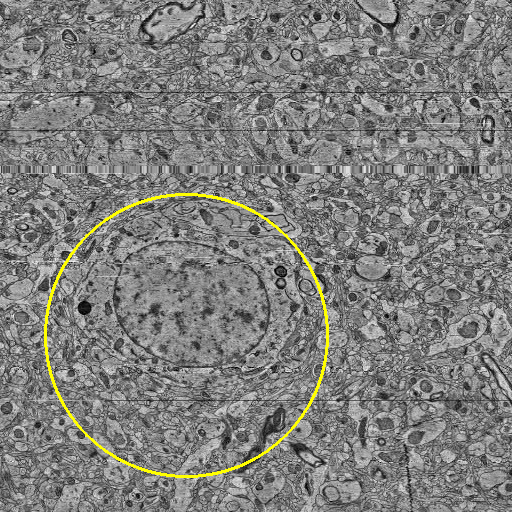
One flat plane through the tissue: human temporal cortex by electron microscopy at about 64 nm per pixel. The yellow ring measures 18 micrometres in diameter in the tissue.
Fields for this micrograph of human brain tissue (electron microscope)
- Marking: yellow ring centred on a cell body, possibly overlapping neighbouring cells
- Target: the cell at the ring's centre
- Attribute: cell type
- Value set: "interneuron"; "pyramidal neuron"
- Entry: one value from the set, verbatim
pyramidal neuron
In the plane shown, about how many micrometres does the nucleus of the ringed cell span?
Approximately 10 micrometres long and 8 micrometres wide, in this plane.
